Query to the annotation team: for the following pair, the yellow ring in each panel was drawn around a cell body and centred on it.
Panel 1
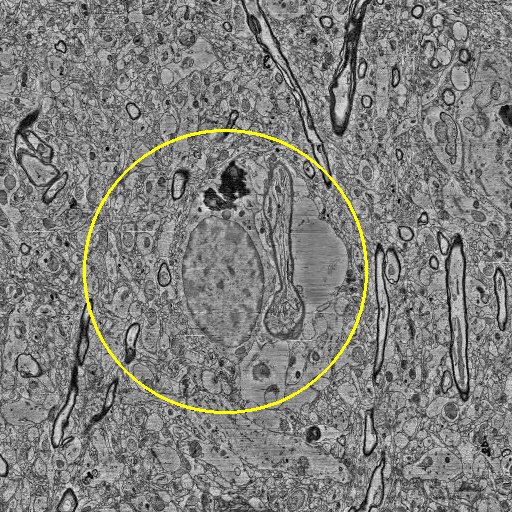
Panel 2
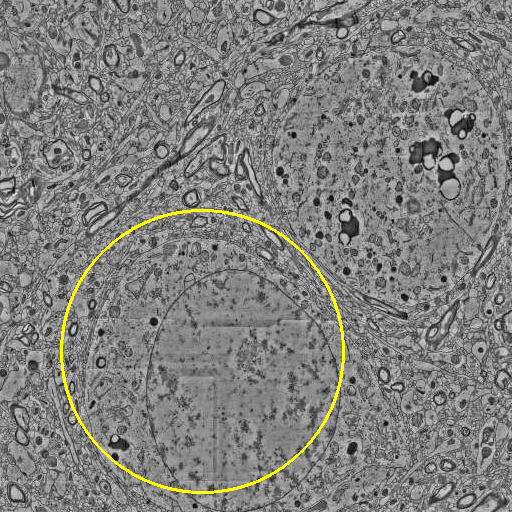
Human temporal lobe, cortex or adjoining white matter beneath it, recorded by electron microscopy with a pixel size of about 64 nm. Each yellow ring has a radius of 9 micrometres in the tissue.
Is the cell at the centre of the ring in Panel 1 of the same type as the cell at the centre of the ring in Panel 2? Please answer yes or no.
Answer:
no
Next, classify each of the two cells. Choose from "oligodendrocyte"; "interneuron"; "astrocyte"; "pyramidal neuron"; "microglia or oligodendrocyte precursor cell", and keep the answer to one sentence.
In the first picture it is an oligodendrocyte; in the second it is a pyramidal neuron.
